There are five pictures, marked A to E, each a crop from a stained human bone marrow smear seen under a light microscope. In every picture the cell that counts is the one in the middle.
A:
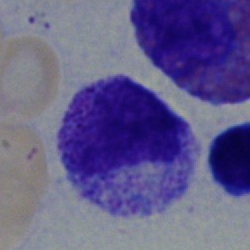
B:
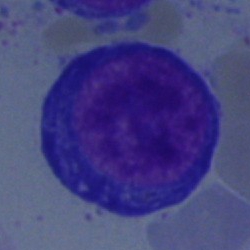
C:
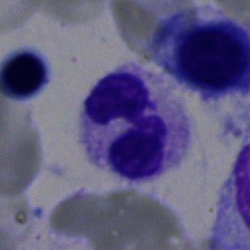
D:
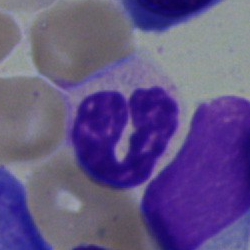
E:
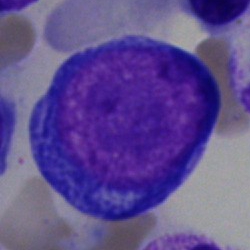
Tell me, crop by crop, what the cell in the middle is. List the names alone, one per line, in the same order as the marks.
myelocyte
proerythroblast
segmented neutrophil
band neutrophil
proerythroblast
